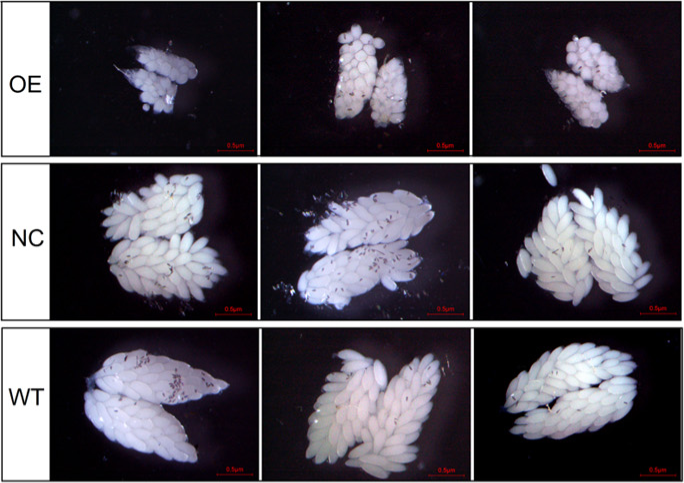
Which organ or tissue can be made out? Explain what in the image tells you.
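Ovaries. Paired clusters of many elongated, whitish ovoid bodies on a dark background.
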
